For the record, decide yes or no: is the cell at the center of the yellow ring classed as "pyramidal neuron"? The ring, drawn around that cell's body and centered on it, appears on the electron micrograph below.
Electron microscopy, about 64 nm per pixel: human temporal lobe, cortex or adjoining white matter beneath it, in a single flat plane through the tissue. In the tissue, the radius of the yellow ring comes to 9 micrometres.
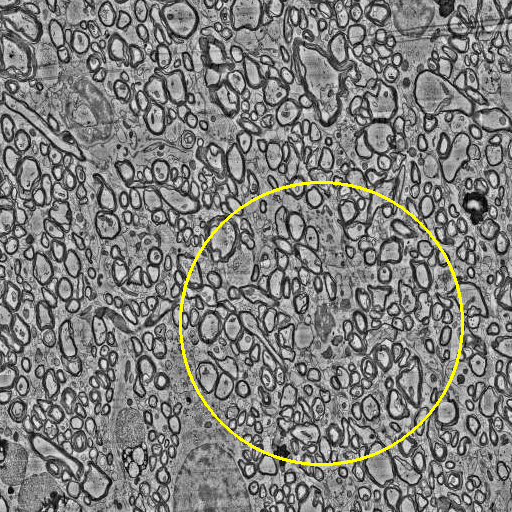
no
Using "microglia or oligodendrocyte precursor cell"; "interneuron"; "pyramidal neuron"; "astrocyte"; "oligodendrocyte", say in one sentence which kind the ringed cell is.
Here, the ring is centred on a microglial cell or oligodendrocyte precursor cell instead.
